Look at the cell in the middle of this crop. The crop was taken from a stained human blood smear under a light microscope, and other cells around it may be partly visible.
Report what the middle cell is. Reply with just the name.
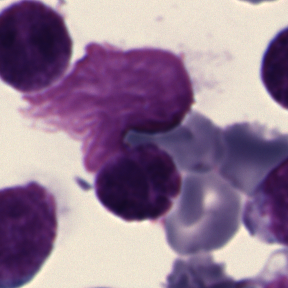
smudge cell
